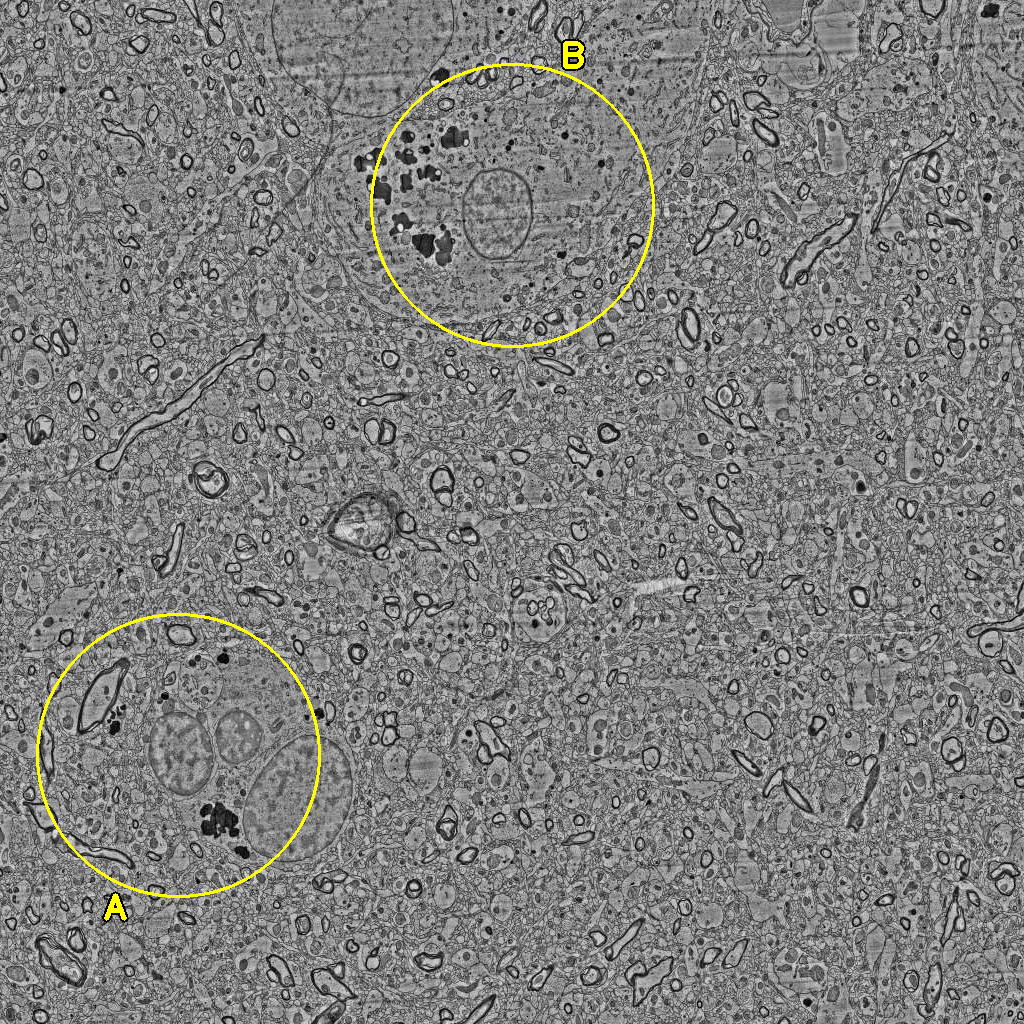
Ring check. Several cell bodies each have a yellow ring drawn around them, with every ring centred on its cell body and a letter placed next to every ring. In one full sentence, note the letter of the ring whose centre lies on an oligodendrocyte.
At the centre of ring A lies the cell asked for in this check.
